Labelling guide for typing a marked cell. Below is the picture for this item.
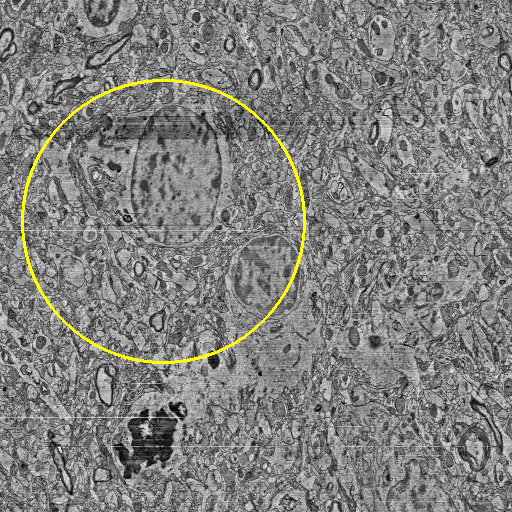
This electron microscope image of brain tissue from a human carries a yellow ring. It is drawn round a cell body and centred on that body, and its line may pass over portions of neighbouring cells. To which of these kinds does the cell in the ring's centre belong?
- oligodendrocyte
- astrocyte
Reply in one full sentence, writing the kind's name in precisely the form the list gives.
Here we have an astrocyte at the centre of the yellow ring in the picture.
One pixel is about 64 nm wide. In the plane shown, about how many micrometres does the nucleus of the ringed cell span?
The nucleus measures about 9 by 6 micrometres, so it is clearly longer than it is wide in this plane.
